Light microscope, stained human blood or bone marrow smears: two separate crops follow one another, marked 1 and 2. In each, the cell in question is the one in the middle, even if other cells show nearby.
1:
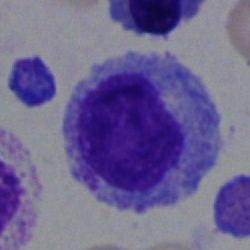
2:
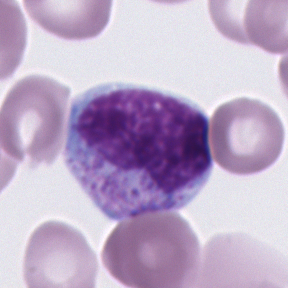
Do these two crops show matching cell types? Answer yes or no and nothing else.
yes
